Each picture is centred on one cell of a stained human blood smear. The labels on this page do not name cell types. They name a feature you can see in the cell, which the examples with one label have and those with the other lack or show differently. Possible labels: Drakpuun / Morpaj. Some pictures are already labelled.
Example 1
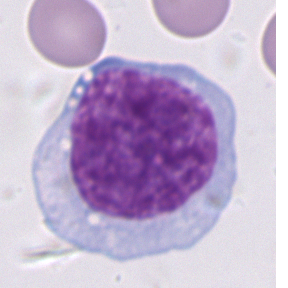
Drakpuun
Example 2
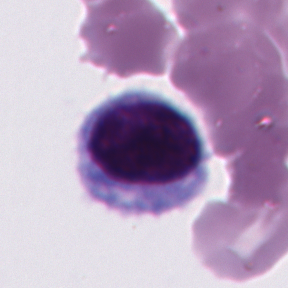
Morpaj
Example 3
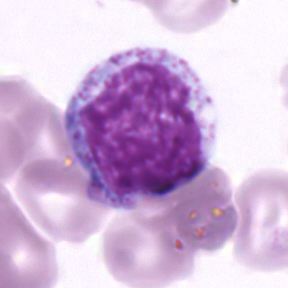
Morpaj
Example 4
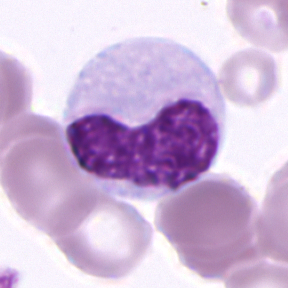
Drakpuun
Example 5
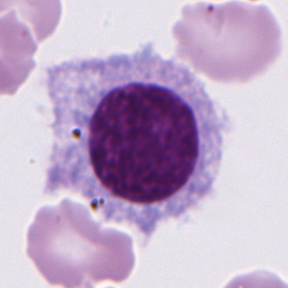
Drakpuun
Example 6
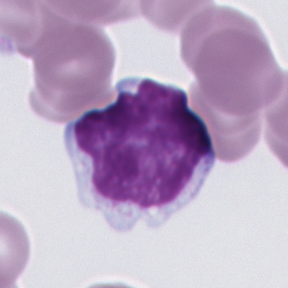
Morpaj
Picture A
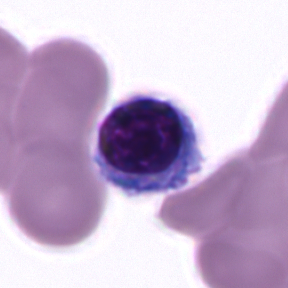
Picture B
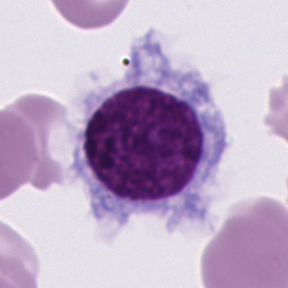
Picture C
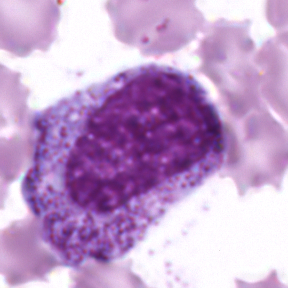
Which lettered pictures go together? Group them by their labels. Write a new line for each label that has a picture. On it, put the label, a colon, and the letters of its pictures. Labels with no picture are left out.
Drakpuun: C
Morpaj: A, B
